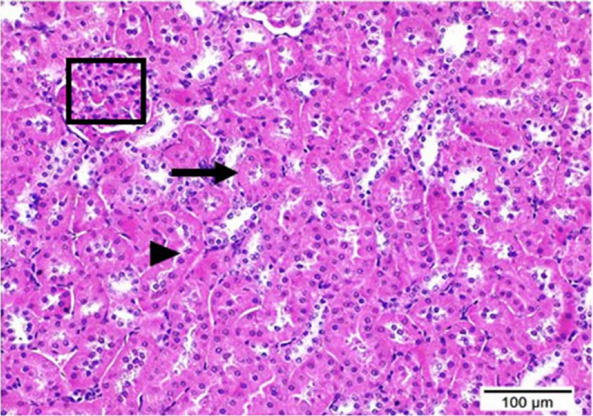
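Renal cortex with closely packed convoluted tubules and a renal corpuscle. The renal corpuscle appears as a rounded tuft of capillary loops crowded with purple nuclei, surrounded by a thin clear space and a delicate capsule. Around it, tubules are cut in many planes; most have tall cells with deeply pink, granular cytoplasm, round central nuclei and a narrow, often fuzzy lumen, while others have lower, paler cells and wider, cleaner lumens.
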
